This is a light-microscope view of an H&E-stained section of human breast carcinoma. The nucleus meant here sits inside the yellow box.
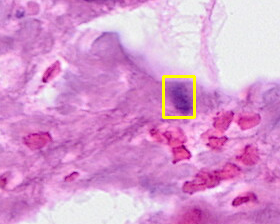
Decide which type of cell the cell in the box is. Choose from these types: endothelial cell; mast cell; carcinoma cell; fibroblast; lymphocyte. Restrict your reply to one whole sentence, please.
In this section of tissue, the cell in the box is a fibroblast.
